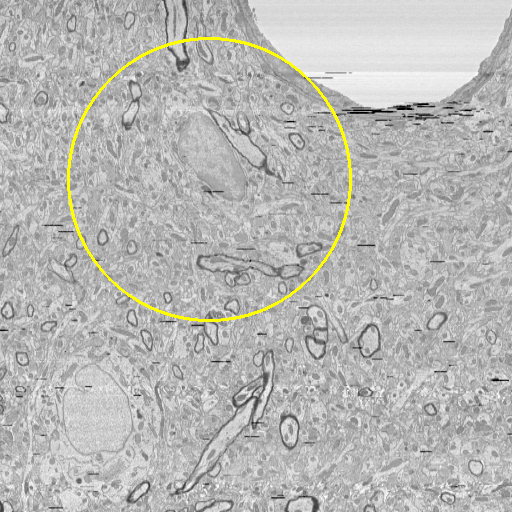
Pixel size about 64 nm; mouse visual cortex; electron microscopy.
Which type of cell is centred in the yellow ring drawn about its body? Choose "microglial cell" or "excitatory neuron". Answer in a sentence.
The yellow ring surrounds the cell body of a microglial cell.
